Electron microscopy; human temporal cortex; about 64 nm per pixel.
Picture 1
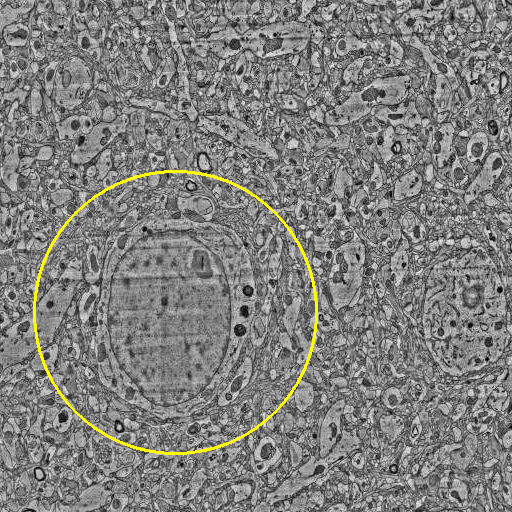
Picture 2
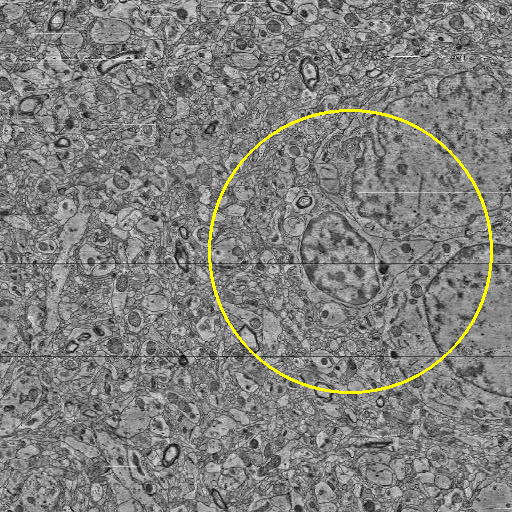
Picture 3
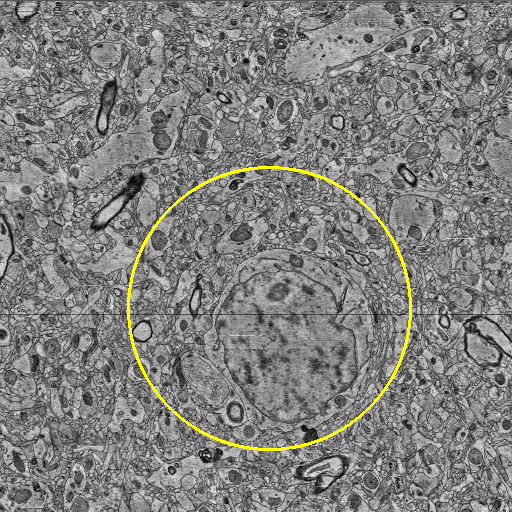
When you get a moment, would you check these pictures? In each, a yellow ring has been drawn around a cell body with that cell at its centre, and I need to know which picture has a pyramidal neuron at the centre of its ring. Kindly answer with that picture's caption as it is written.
Picture 1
